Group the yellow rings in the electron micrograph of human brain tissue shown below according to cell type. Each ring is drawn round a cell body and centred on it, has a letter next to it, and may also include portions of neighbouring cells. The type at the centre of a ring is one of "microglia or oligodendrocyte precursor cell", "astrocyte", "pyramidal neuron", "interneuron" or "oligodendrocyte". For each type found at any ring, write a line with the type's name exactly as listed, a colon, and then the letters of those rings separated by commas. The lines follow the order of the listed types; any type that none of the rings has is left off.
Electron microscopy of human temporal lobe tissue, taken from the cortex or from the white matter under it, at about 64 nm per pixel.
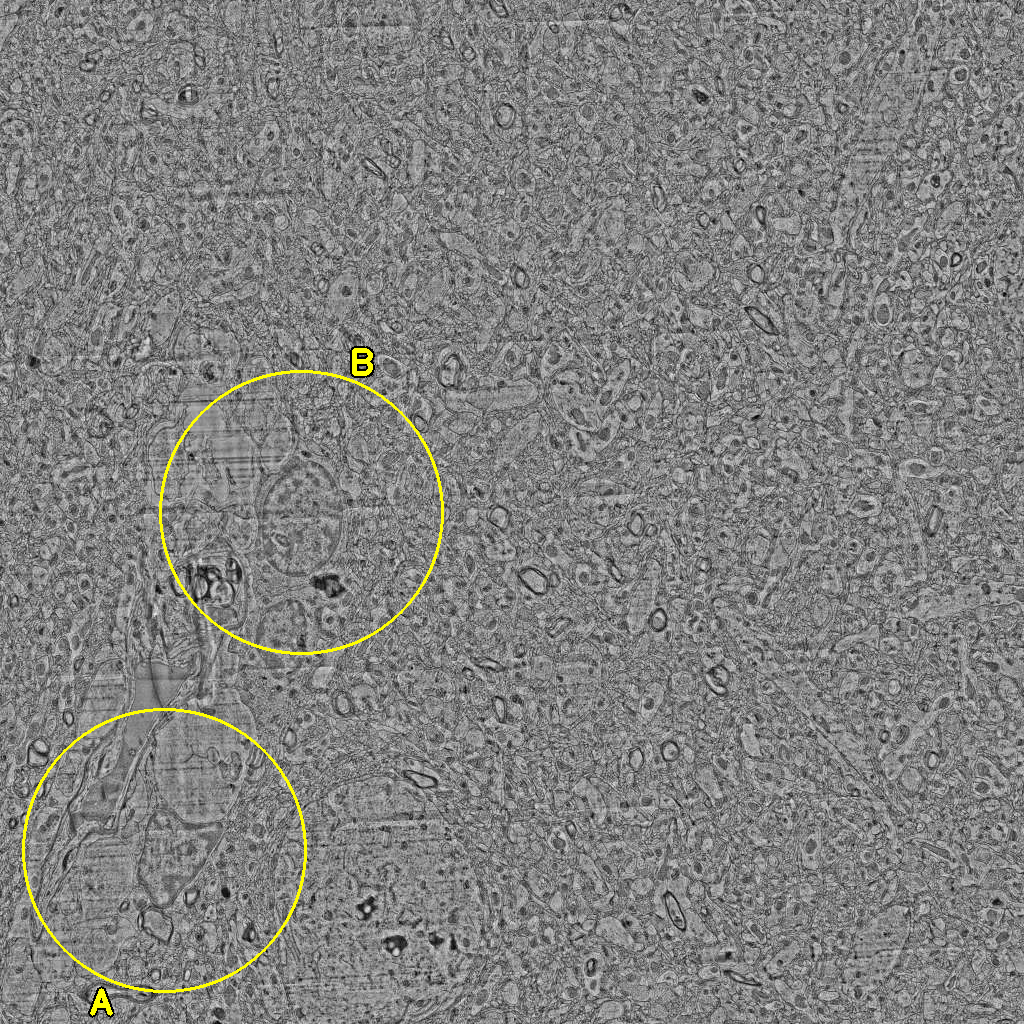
microglia or oligodendrocyte precursor cell: A
oligodendrocyte: B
